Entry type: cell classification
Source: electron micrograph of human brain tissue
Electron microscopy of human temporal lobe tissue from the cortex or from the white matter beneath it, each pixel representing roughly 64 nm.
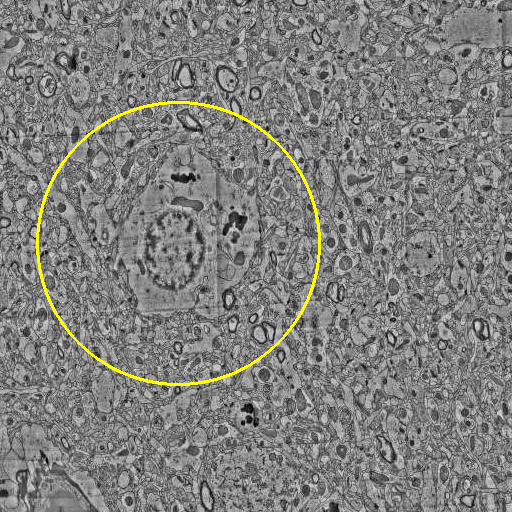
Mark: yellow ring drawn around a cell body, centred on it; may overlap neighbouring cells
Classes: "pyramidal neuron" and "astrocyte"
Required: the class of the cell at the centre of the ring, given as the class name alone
astrocyte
